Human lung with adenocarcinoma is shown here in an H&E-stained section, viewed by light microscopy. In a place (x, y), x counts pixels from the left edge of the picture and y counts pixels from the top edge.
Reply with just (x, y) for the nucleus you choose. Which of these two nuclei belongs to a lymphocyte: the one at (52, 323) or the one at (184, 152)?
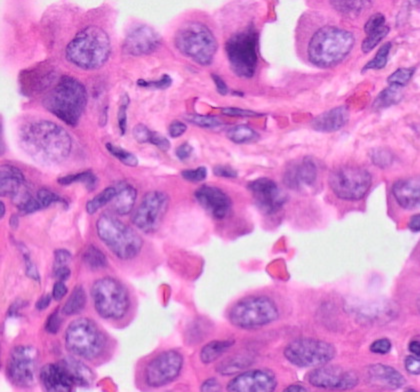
(184, 152)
